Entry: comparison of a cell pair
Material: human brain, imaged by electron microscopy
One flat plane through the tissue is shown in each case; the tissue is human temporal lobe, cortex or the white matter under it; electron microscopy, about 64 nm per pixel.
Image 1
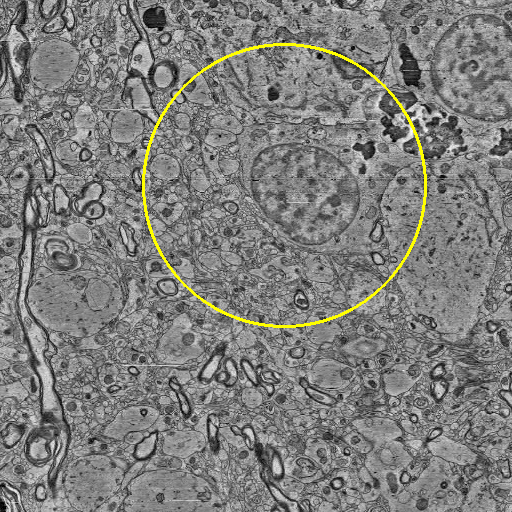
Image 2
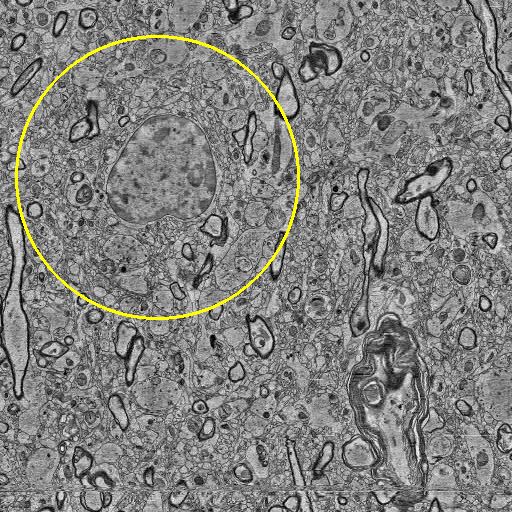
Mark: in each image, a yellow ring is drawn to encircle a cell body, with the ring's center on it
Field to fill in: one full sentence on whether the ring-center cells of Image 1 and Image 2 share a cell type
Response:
No, Image 1 and Image 2 show ring-center cells of two separate types.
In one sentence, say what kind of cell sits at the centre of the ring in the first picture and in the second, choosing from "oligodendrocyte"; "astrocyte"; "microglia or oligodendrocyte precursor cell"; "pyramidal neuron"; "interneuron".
The first picture's ringed cell is an oligodendrocyte, while the second picture's is a microglial cell or oligodendrocyte precursor cell.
